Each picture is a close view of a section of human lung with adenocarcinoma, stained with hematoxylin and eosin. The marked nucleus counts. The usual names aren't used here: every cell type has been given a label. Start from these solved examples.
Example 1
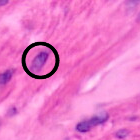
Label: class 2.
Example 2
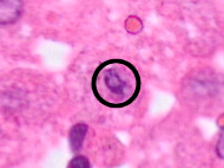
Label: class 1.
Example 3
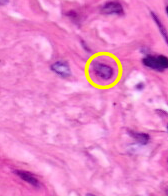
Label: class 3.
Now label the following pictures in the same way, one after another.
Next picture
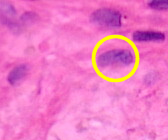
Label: class 2.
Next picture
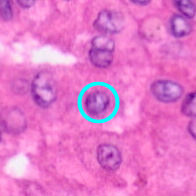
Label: class 1.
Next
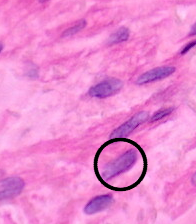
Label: class 2.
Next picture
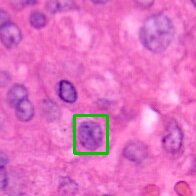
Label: class 1.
